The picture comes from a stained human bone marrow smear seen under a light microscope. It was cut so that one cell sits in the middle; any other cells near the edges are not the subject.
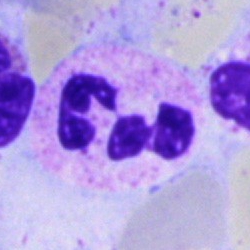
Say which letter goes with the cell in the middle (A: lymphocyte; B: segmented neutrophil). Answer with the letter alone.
B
